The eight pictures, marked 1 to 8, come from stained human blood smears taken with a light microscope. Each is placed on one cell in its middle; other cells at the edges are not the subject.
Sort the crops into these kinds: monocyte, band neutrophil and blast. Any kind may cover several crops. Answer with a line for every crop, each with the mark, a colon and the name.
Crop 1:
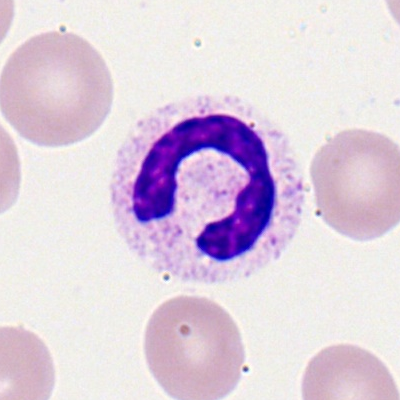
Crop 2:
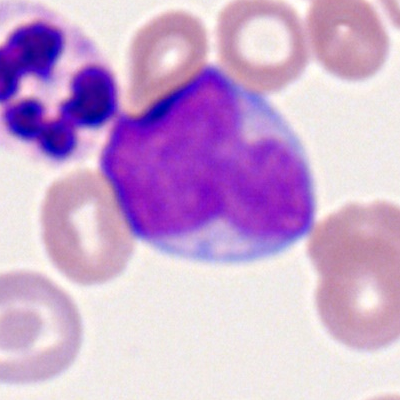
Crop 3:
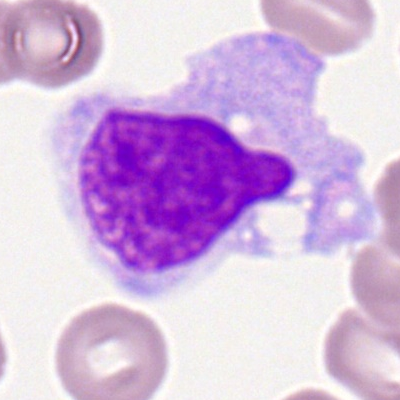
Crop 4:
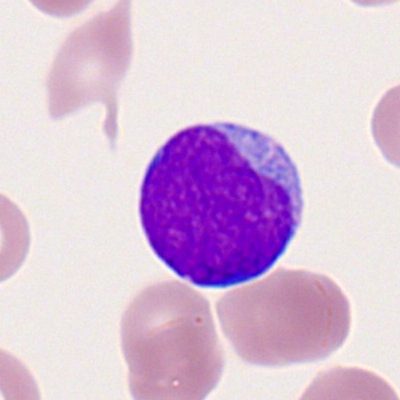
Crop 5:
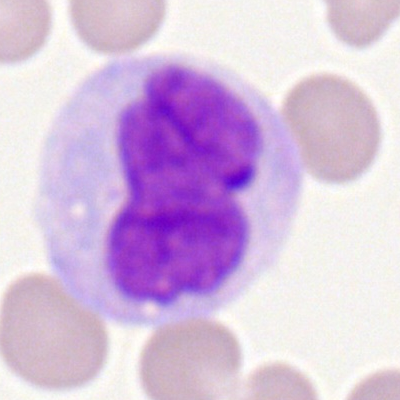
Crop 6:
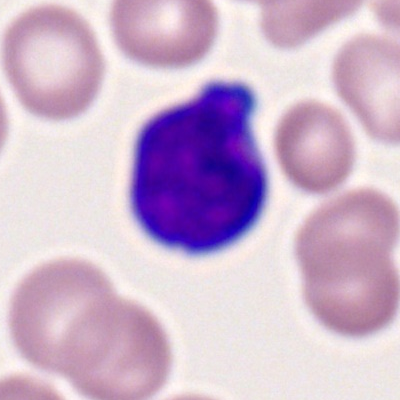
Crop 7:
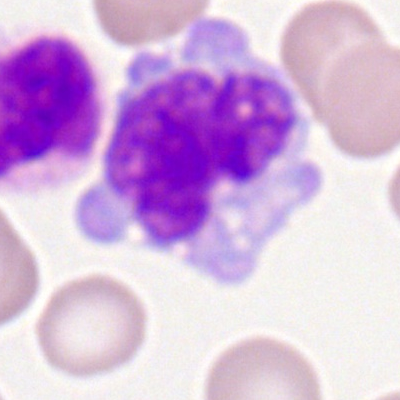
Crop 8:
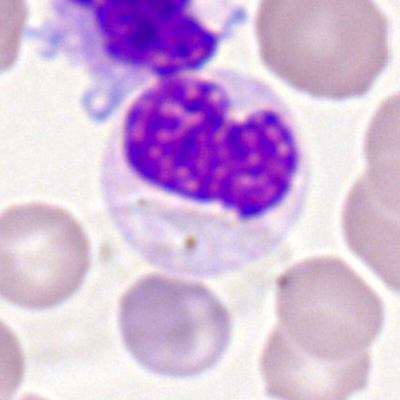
1: band neutrophil
2: blast
3: monocyte
4: blast
5: monocyte
6: blast
7: monocyte
8: band neutrophil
